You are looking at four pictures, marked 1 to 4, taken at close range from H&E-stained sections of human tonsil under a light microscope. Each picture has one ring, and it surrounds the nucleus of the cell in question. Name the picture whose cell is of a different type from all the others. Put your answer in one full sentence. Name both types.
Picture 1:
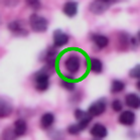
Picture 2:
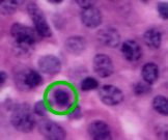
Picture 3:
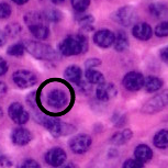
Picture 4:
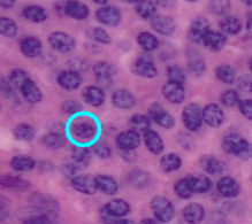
The different one is picture 1; it shows a small lymphocyte, whereas all the others show plasma cells.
